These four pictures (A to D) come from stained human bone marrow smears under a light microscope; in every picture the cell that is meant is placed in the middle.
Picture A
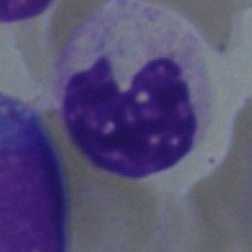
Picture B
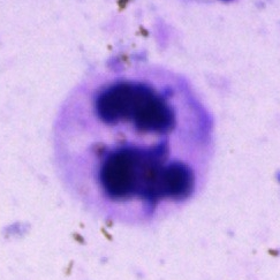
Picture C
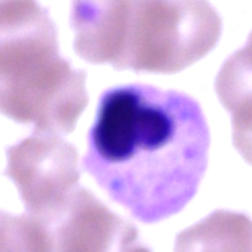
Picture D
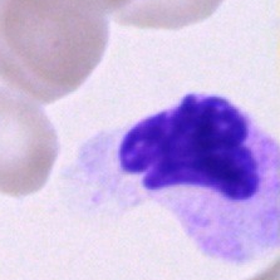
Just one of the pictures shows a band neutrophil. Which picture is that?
A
